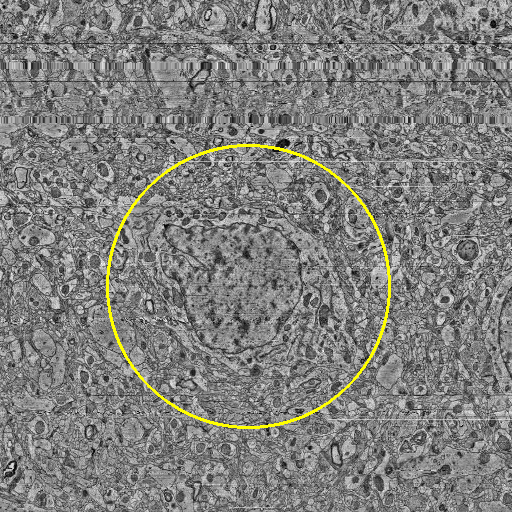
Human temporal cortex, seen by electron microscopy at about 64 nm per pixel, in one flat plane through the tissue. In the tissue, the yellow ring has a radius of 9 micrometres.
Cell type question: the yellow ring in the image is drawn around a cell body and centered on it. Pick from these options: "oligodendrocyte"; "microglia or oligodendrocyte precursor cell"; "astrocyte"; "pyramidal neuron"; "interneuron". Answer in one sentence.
The ringed cell at the center is an interneuron.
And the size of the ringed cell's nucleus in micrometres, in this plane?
The nucleus is about 9 micrometres across in this plane.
